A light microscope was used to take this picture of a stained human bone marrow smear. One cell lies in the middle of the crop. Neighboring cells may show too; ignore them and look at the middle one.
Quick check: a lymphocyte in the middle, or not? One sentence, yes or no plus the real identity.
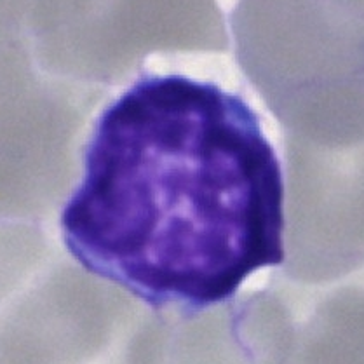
Yes, the centre of the crop holds a lymphocyte.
